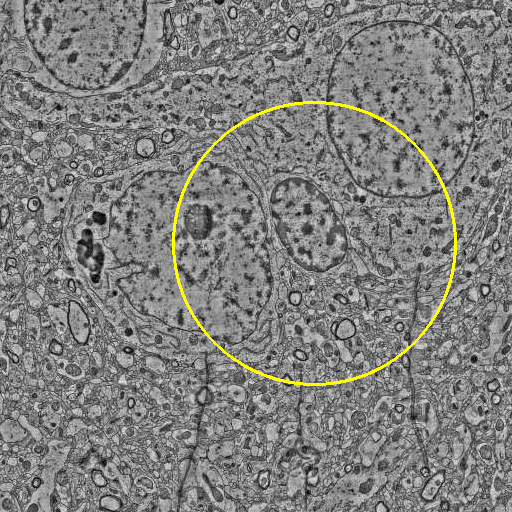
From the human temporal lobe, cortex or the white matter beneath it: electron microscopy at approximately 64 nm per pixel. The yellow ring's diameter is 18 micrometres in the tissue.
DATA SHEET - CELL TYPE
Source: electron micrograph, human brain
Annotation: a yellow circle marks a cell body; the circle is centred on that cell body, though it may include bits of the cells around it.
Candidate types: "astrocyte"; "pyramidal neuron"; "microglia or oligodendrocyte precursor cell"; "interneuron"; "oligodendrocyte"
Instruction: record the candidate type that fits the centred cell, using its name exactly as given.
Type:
microglia or oligodendrocyte precursor cell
